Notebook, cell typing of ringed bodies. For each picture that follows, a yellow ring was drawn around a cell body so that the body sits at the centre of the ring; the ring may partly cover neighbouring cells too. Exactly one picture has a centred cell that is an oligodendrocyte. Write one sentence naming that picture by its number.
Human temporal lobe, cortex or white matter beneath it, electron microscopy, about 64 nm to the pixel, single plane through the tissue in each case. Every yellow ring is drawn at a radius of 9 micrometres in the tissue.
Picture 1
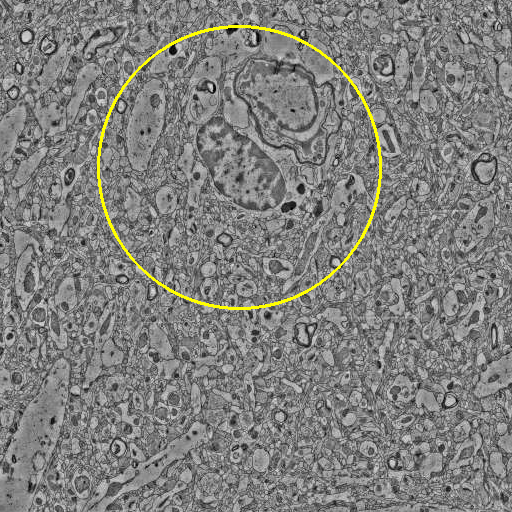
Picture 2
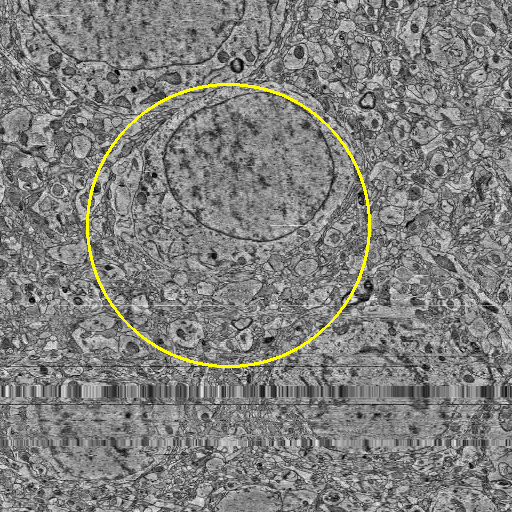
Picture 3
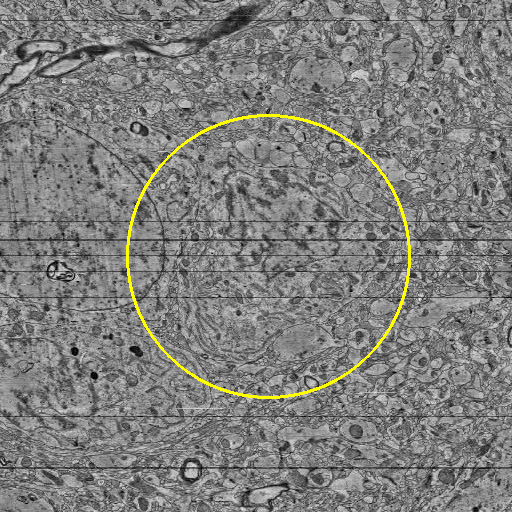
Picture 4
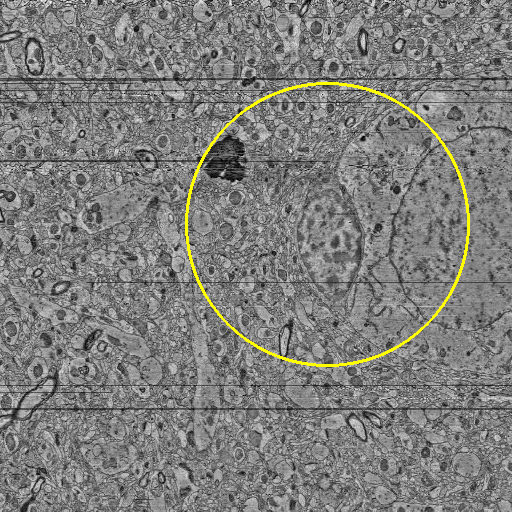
Picture 4 is the one with it at the centre of its ring.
